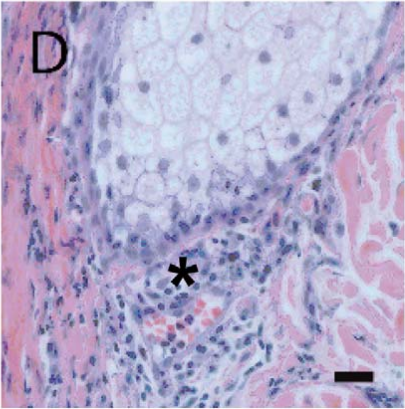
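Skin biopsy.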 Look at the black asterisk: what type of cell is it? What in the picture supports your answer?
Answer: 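Inflammatory cells. Many small cells with dark, compact nuclei cluster in the connective tissue beside a lobule of pale foamy cells. A few red blood cells lie among them.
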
